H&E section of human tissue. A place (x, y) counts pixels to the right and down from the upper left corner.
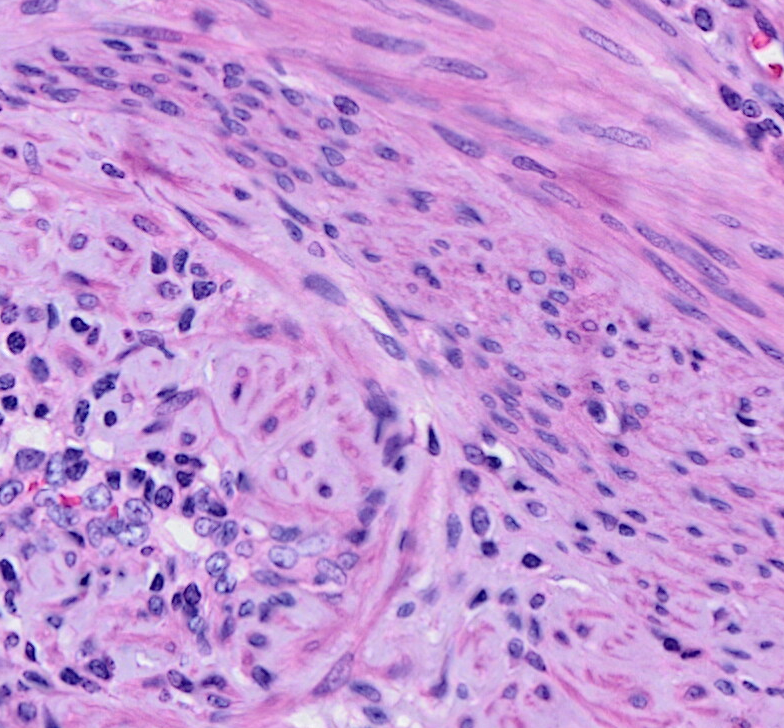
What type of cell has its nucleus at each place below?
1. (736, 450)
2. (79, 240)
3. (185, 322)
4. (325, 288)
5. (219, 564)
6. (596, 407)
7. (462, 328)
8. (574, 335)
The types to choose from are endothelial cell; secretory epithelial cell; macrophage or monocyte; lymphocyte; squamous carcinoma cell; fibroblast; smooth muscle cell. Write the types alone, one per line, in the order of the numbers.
smooth muscle cell
smooth muscle cell
lymphocyte
fibroblast
endothelial cell
lymphocyte
smooth muscle cell
smooth muscle cell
